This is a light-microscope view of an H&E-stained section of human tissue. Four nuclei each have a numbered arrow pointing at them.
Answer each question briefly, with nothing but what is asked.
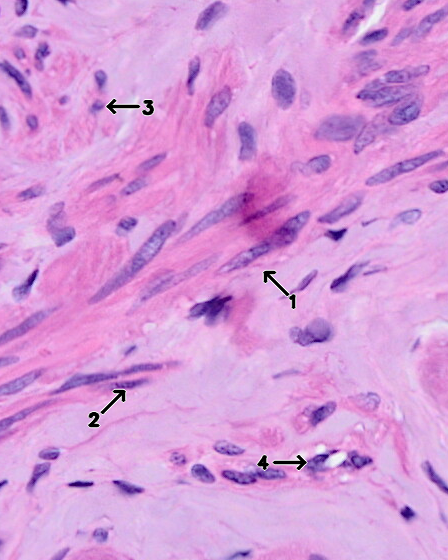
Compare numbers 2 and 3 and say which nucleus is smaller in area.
3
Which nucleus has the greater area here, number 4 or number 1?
1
